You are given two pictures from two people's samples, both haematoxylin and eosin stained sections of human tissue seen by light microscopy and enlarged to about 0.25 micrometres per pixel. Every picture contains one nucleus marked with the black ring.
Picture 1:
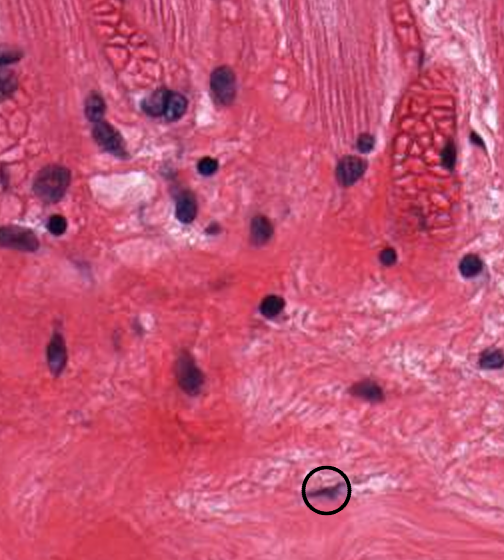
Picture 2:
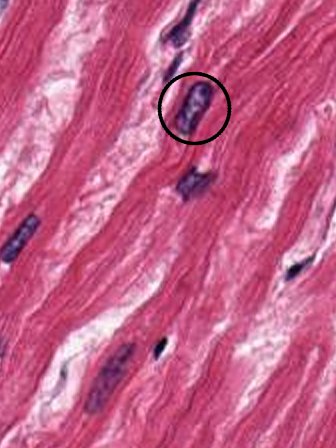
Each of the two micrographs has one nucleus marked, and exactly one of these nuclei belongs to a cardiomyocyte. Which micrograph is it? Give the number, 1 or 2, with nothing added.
2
